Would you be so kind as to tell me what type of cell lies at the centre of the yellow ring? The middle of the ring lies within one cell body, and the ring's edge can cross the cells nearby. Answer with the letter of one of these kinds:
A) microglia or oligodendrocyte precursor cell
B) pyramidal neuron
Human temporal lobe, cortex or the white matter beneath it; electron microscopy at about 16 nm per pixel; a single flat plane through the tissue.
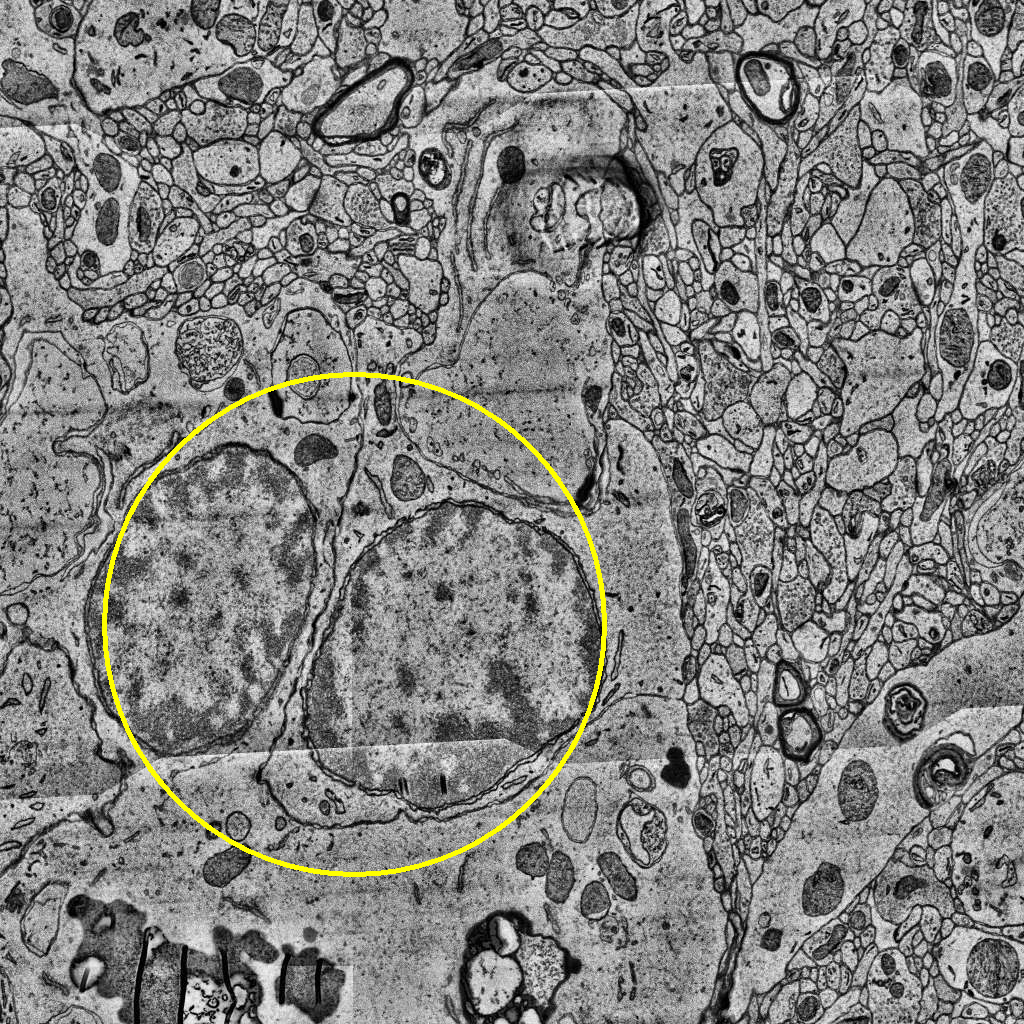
A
